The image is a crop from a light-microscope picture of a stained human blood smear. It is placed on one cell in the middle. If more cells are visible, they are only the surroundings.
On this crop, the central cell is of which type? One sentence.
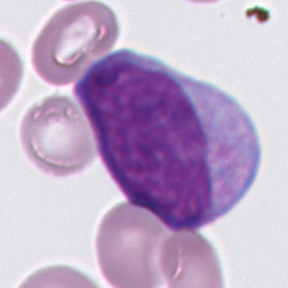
Seen at the centre of the crop is an atypical promyelocyte.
